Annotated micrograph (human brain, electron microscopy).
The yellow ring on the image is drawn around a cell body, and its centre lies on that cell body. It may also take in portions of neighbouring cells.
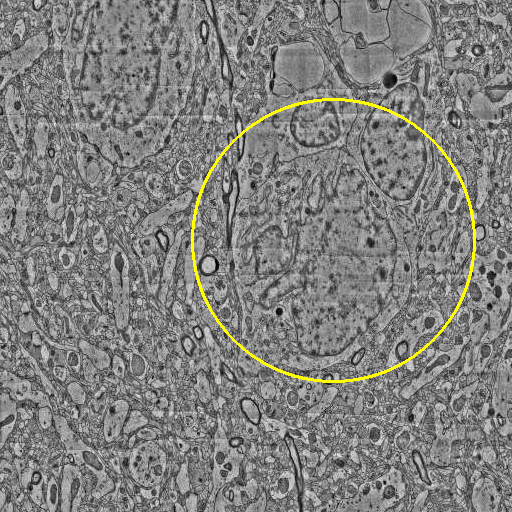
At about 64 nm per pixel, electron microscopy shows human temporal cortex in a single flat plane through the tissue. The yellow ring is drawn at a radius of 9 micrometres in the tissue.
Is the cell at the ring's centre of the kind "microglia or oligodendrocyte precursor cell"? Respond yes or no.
No, it is of another kind.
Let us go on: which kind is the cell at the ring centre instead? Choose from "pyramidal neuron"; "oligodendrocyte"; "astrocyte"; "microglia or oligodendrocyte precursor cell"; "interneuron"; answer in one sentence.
What the ring is centred on is an interneuron.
